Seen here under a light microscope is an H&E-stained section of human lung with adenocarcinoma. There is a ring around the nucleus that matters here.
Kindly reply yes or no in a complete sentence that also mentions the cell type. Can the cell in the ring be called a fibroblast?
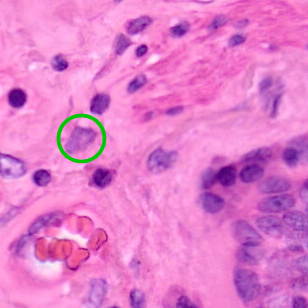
Yes, the classification of the cell in the ring as a fibroblast is accurate.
